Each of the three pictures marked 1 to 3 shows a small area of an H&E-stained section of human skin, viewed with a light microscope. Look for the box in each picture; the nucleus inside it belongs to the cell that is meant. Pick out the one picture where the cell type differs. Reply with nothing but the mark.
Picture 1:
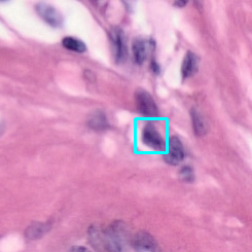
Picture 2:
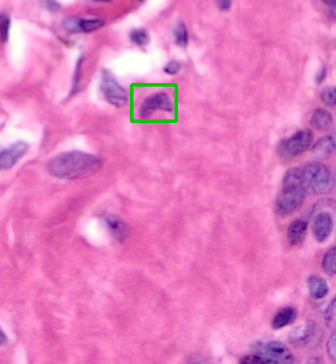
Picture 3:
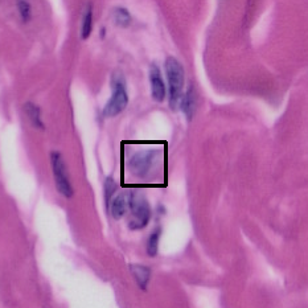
2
